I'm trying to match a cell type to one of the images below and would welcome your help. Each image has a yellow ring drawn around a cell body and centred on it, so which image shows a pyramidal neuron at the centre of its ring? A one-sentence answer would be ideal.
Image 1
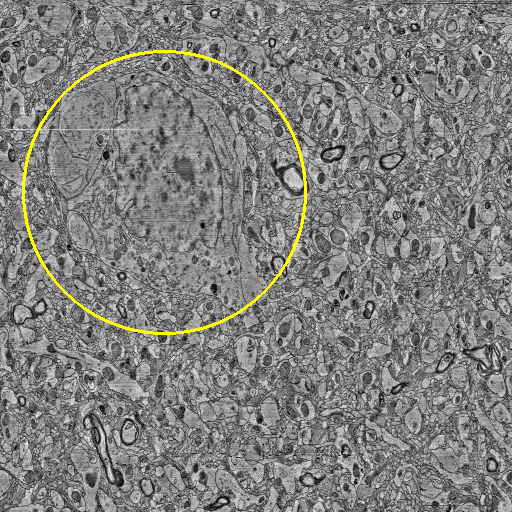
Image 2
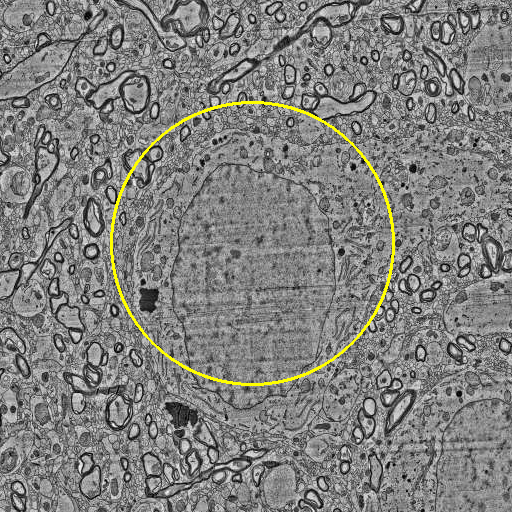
Image 2 shows it at the centre of the ring.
